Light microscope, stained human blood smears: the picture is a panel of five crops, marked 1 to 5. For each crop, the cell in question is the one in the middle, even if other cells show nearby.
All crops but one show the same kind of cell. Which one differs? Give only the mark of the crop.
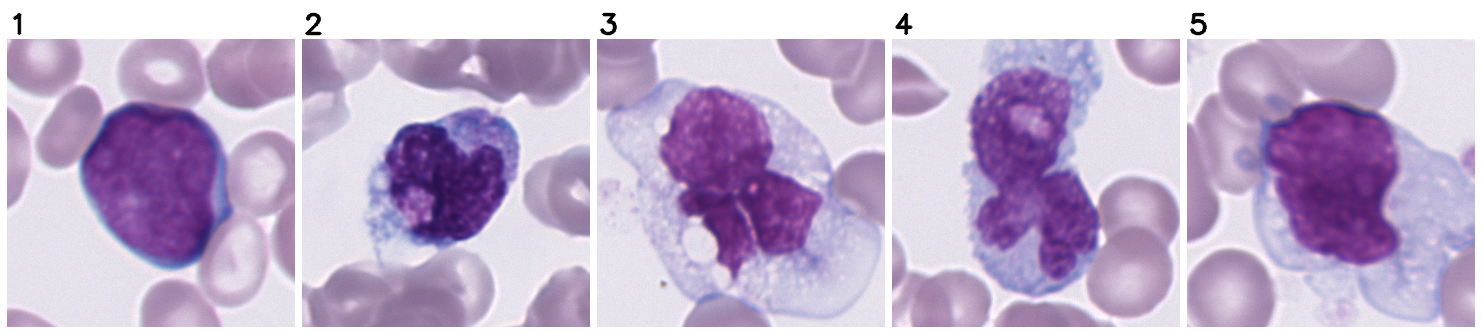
1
